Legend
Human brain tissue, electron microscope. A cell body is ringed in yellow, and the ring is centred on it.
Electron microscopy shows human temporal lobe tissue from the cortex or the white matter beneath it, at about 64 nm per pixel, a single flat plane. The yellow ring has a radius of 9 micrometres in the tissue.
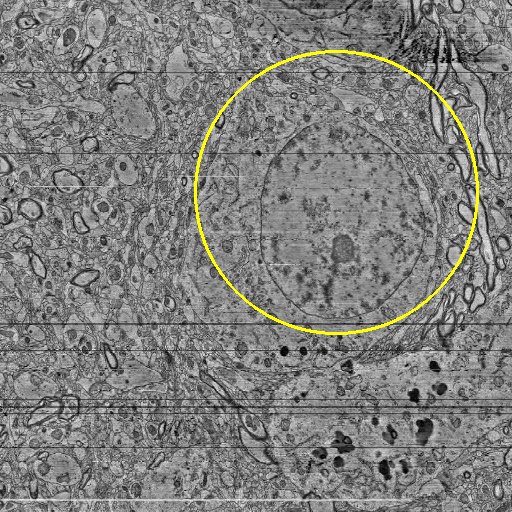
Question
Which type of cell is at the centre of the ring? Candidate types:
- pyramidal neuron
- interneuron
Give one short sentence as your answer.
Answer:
The yellow ring is centred here on a pyramidal neuron.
